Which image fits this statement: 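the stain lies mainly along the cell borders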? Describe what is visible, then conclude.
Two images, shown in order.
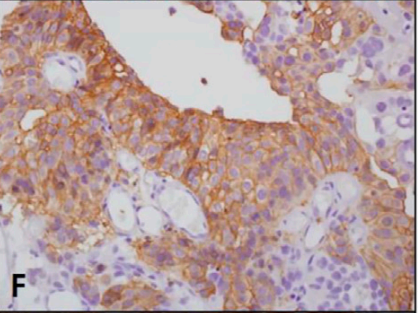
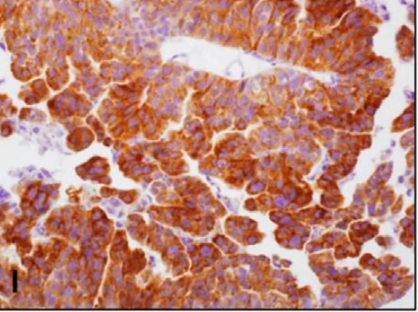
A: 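Second image: brown stain fills the whole cell bodies densely. First image: brown stain traces a fine network along cell borders, interiors paler.
Conclusion: the first image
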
